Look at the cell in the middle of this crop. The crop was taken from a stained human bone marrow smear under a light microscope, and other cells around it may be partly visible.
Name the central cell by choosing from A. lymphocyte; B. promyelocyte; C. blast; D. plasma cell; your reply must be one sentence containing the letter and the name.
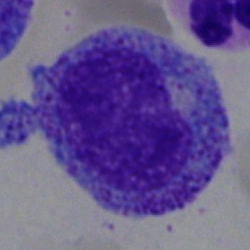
The cell right in the middle is a promyelocyte, so option B is the one.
